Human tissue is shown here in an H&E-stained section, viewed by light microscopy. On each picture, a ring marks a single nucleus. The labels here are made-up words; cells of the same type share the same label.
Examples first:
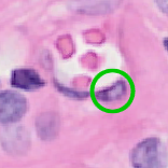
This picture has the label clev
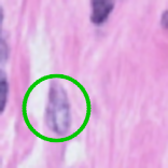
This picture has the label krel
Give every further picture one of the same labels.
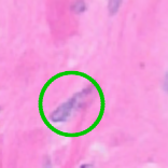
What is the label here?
krel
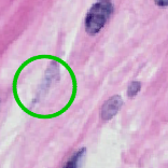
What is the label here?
krel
